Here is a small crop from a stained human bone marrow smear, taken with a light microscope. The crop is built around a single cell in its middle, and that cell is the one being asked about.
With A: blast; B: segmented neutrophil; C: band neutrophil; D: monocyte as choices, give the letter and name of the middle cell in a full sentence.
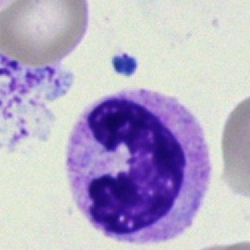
As the central cell is a band neutrophil, option C is correct.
